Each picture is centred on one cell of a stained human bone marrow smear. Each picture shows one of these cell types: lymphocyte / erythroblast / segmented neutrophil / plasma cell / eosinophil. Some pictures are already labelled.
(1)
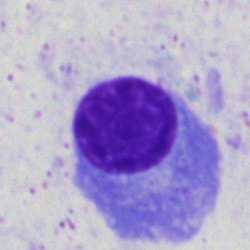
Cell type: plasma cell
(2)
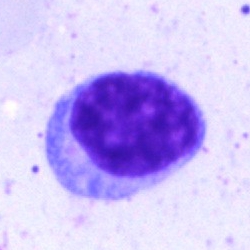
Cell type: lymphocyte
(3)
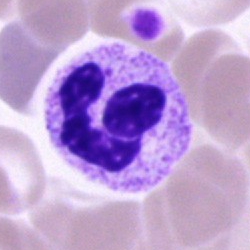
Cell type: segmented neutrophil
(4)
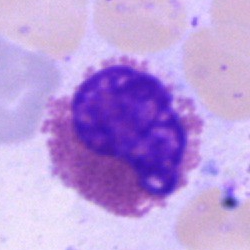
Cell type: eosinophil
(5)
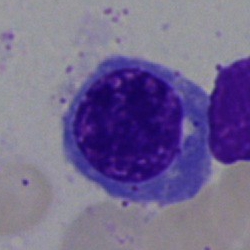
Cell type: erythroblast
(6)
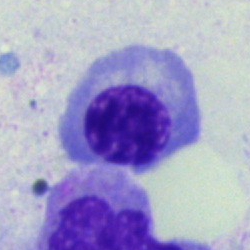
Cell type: erythroblast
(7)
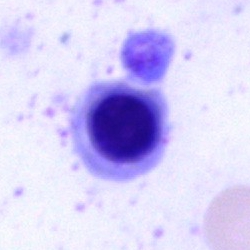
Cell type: erythroblast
